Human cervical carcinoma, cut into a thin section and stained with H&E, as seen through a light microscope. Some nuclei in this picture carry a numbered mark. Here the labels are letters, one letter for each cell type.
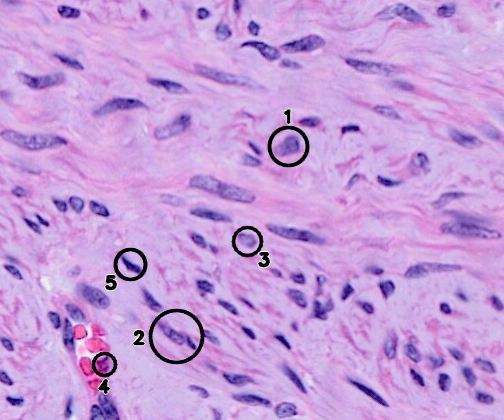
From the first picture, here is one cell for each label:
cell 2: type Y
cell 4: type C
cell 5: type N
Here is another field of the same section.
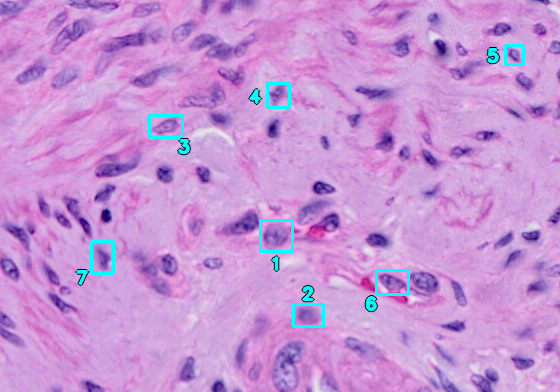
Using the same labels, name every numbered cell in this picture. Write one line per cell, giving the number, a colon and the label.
1: type C
2: type Y
3: type Y
4: type Y
5: type Y
6: type C
7: type N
